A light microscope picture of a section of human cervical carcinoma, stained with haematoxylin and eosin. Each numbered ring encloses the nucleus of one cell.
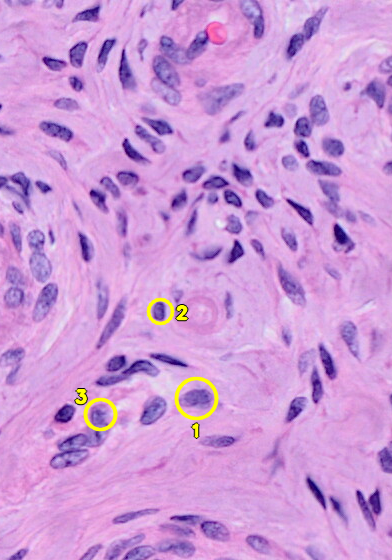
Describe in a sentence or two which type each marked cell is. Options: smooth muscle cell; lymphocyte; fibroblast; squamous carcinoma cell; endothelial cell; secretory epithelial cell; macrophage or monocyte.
Cells 1 and 2 are fibroblasts. Cell 3 is an endothelial cell.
